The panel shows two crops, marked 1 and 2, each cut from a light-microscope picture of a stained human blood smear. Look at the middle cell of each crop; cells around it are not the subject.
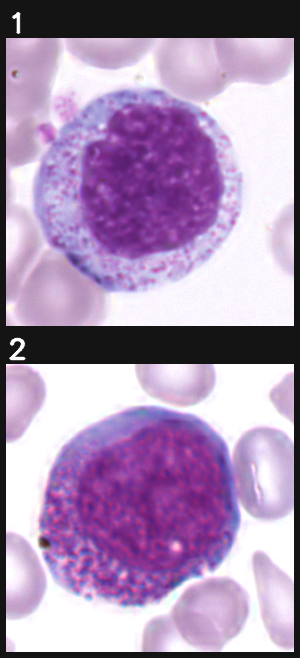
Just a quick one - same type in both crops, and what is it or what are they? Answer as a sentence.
Yes, both crops do show promyelocytes in the middle.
